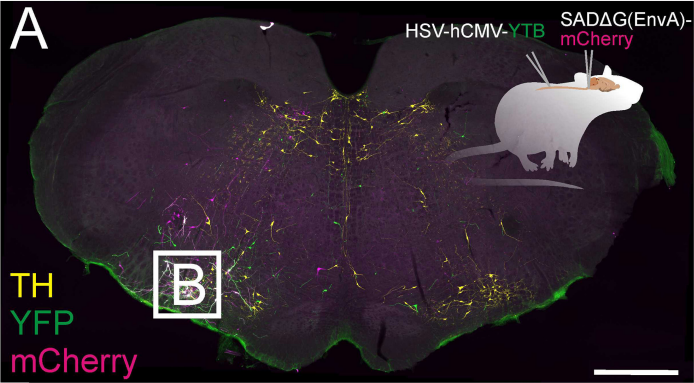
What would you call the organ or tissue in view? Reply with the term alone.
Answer: Brainstem.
